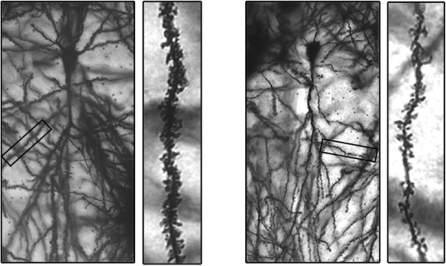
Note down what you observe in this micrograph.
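Dark somata give rise to a thick main dendritic shaft, and numerous thinner dendrites branch off it in a dense, overlapping mesh. A black rectangle in each image frames a thin branch of a dendrite. The magnified strip beside each image shows that dendrite segment densely covered with short protrusions along its length, many with rounded heads, others stubby or thin. The protrusions appear somewhat sparser along the segment in the right-hand pair than in the left.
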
